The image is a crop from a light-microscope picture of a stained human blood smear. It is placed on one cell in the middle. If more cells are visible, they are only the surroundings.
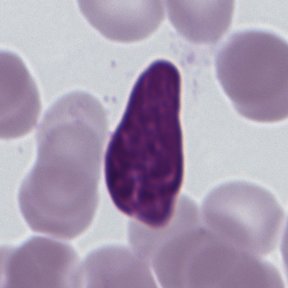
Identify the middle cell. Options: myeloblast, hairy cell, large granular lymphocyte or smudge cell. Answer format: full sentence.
Positioned in the middle of the crop is a smudge cell.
